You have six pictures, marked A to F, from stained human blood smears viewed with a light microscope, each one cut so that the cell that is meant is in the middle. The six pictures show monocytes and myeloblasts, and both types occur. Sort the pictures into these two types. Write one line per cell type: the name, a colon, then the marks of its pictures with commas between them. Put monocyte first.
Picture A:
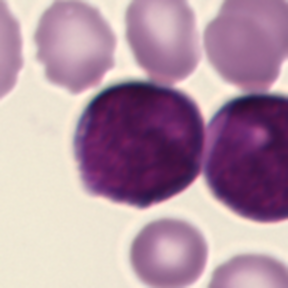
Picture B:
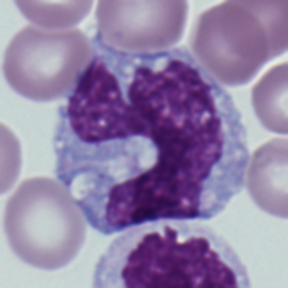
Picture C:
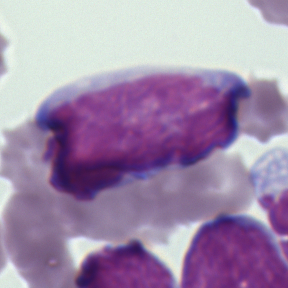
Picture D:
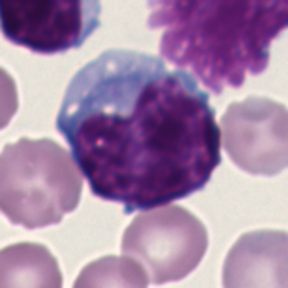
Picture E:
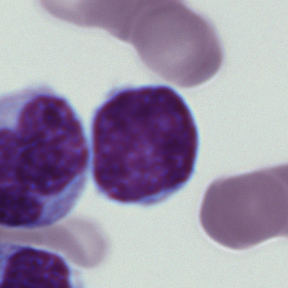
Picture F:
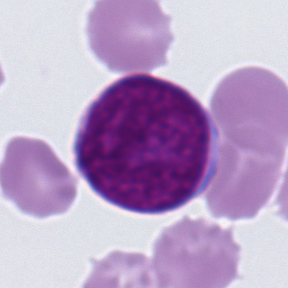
monocyte: B, D, E
myeloblast: A, C, F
